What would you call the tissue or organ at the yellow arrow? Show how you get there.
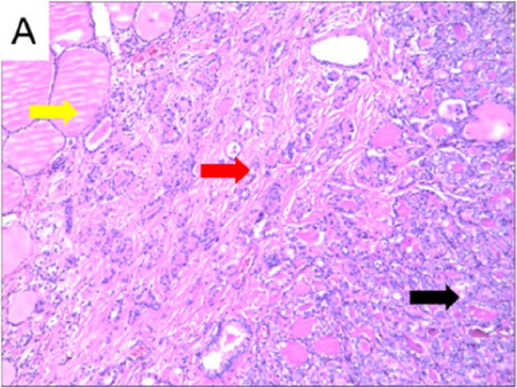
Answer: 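Large round follicles filled with homogeneous pink colloid. Follicles lined by a thin layer of flattened cells. Lies at the upper left edge, apart from the crowded cellular areas. The answer: normal thyroid tissue.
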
